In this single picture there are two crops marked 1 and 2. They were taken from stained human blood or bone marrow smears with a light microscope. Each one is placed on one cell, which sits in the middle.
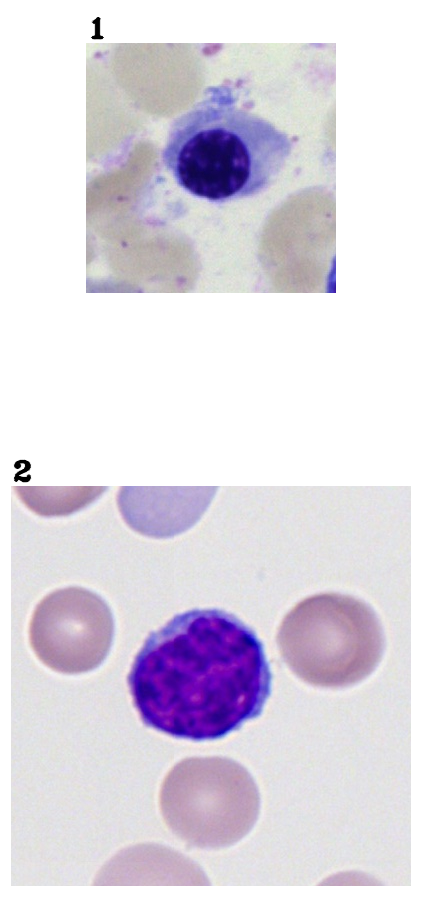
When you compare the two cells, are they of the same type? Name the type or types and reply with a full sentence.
No, the correct reading is a normoblast in crop 1 and a lymphocyte in crop 2.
